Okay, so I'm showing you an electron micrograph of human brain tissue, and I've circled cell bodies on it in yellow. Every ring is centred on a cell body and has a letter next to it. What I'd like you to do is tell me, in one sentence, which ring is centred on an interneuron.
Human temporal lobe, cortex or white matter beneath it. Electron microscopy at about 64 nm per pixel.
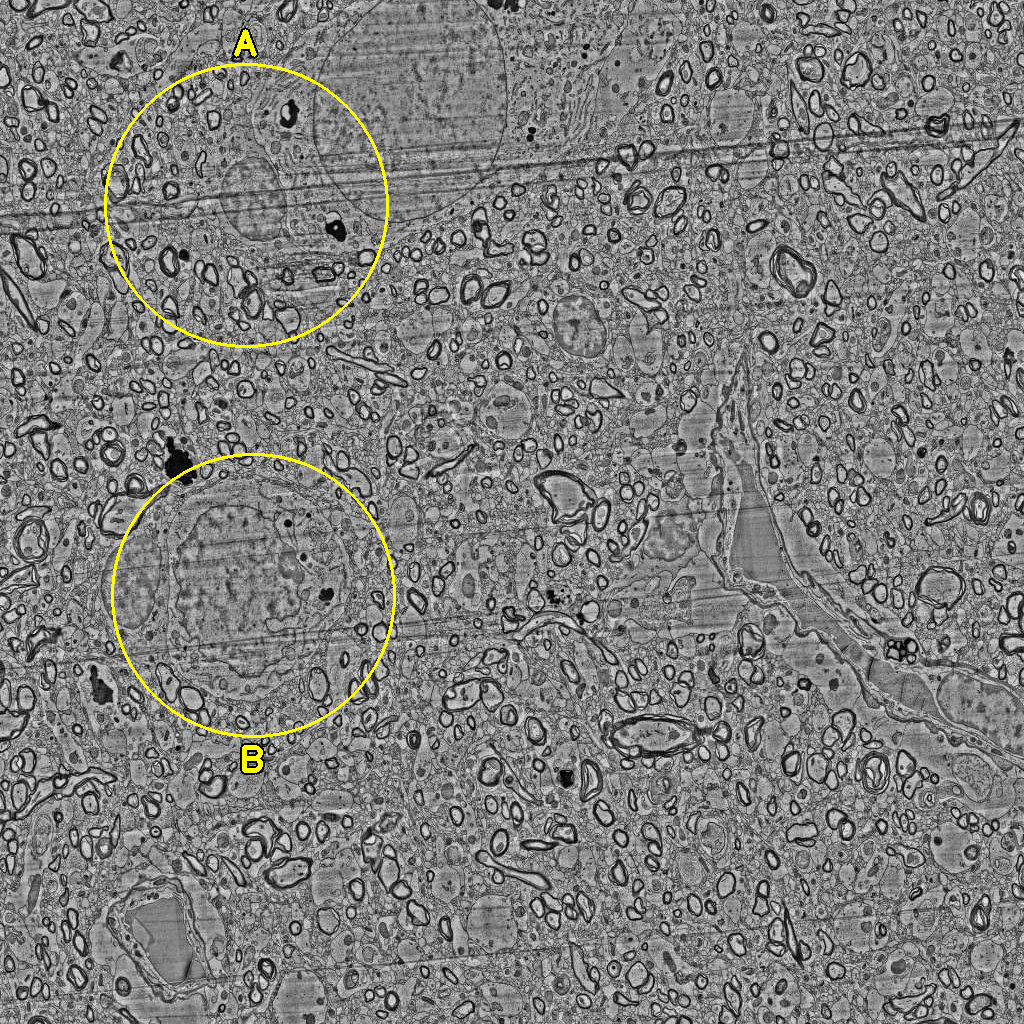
It's ring B.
